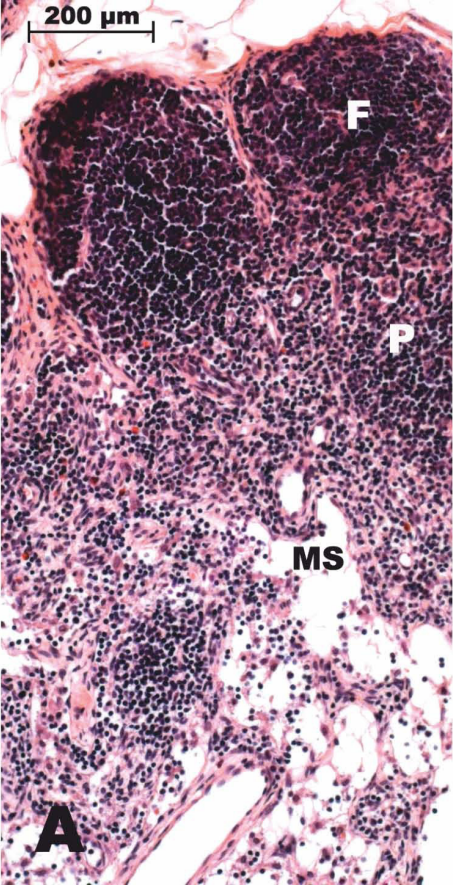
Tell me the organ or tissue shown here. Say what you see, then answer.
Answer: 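Lymph node. A thin fibrous capsule surrounds densely packed small round dark nuclei. Rounded dense nodules lie just beneath the capsule. Open sinus spaces with loosely scattered cells lie deeper.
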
